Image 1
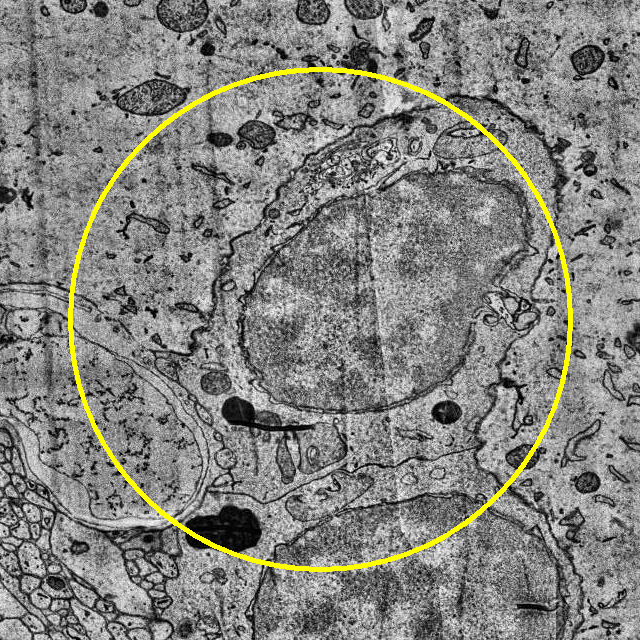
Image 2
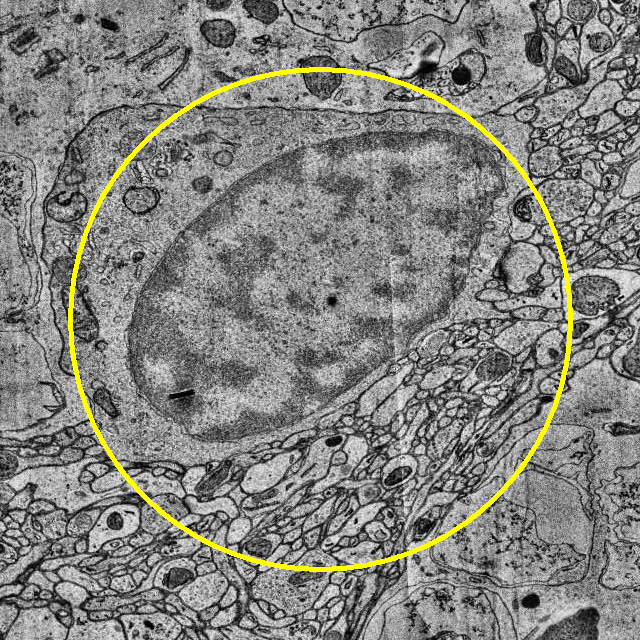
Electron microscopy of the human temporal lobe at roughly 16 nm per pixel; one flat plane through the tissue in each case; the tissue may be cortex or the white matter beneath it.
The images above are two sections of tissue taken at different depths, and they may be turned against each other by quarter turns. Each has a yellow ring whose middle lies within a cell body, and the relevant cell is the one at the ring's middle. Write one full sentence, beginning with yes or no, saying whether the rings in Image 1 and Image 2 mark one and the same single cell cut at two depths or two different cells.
No, two different cells appear inside the two yellow rings.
